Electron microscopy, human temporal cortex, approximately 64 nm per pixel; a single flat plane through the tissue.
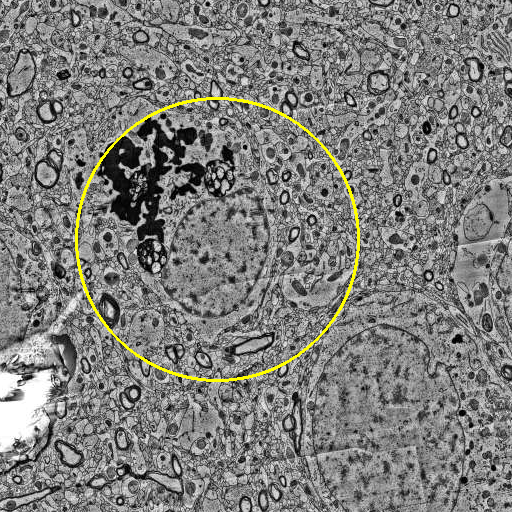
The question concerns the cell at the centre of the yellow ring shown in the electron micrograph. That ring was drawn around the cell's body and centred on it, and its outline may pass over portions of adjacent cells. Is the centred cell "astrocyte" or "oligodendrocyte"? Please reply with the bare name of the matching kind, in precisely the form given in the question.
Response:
astrocyte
